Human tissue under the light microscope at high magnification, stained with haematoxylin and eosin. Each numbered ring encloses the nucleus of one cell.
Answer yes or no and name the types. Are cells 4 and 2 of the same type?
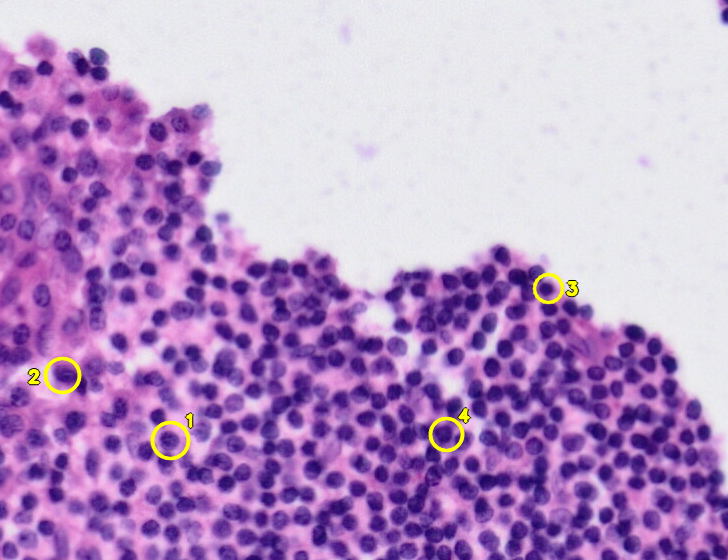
No, sorry to say, cell 4 is a small lymphocyte and cell 2 is a plasma cell.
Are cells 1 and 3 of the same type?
Yes, both cells, 1 and 3, are small lymphocytes.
